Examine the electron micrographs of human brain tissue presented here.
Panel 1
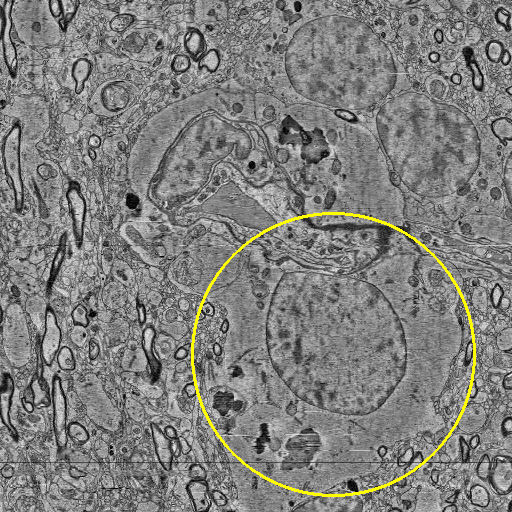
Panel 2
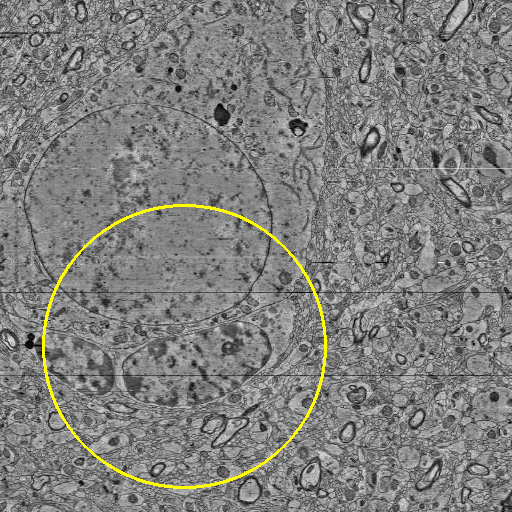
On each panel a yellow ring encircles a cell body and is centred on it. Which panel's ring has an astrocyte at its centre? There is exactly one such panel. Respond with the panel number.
1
